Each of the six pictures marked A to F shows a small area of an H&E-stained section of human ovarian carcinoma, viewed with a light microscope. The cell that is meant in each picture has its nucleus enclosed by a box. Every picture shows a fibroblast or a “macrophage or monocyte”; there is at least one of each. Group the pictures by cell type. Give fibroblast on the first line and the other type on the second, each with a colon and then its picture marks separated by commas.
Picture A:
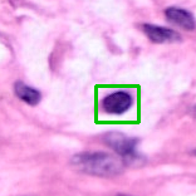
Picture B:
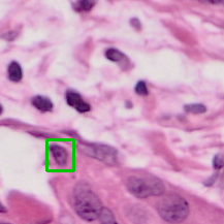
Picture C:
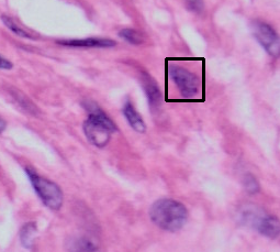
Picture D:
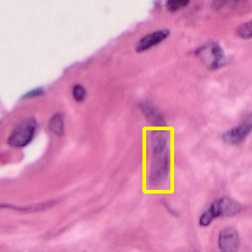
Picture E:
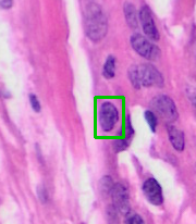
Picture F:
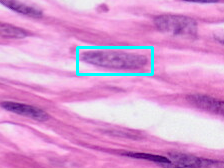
fibroblast: C, D, F
macrophage or monocyte: A, B, E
